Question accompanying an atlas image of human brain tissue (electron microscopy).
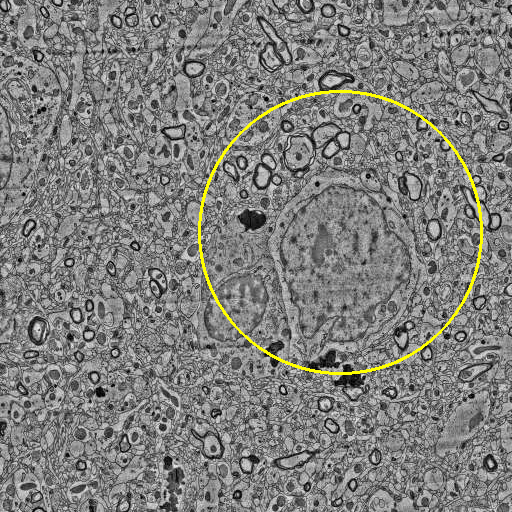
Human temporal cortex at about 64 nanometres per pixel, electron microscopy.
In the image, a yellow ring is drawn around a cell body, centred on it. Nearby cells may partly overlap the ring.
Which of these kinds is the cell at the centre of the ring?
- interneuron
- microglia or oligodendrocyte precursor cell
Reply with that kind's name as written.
interneuron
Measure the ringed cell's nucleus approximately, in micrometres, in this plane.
The nucleus has a long axis of about 10 micrometres and a short axis of about 8 micrometres in this plane.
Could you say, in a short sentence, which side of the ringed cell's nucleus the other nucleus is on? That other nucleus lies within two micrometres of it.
The other nucleus is located to the left of it.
